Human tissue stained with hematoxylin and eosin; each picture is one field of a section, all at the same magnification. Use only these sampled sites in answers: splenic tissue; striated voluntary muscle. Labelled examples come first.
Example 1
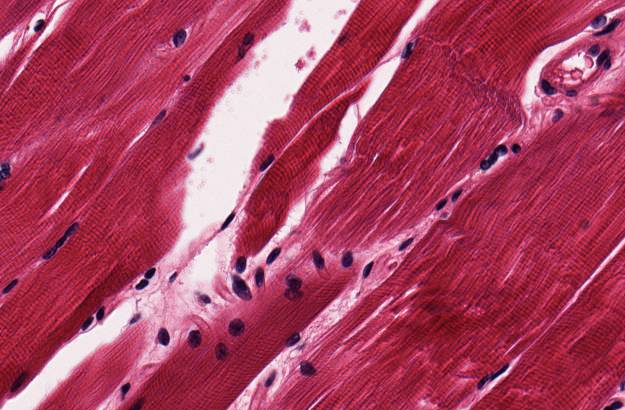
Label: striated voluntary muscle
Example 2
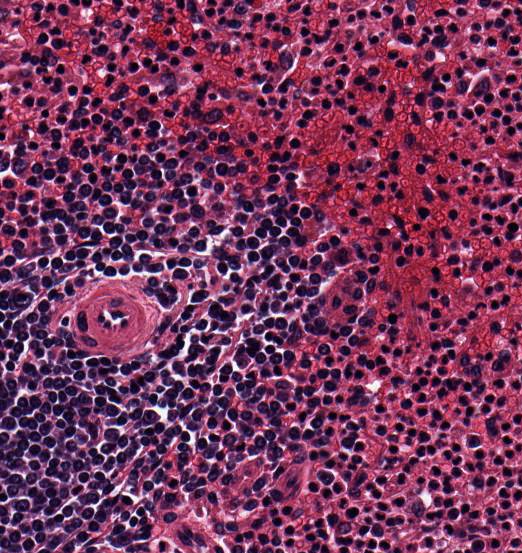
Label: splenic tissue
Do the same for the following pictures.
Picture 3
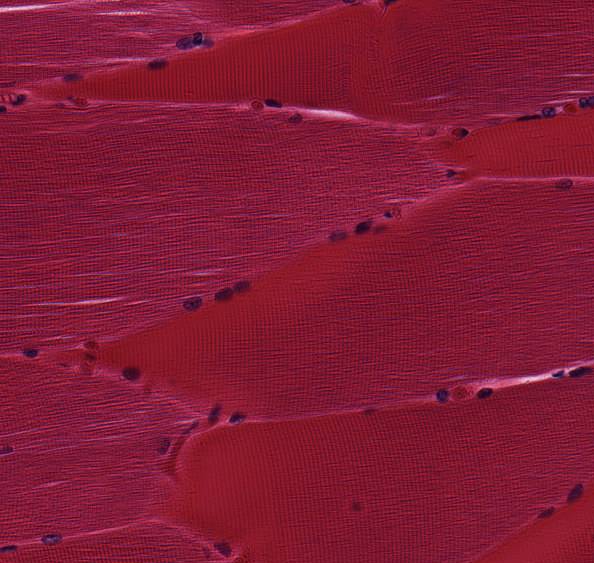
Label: striated voluntary muscle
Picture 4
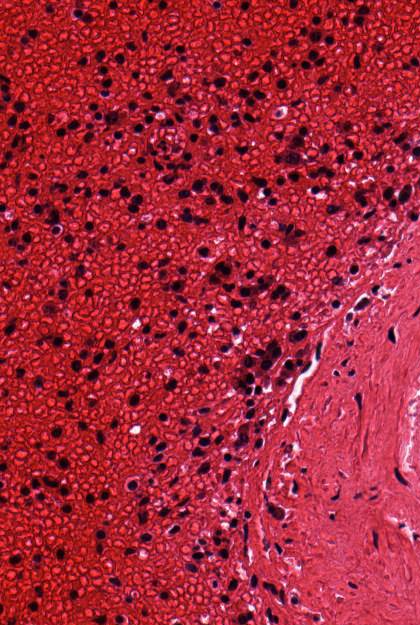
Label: splenic tissue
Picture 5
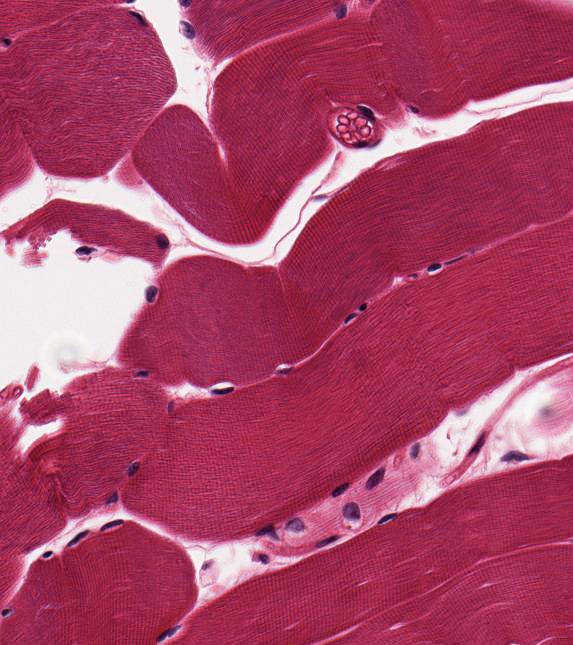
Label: striated voluntary muscle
